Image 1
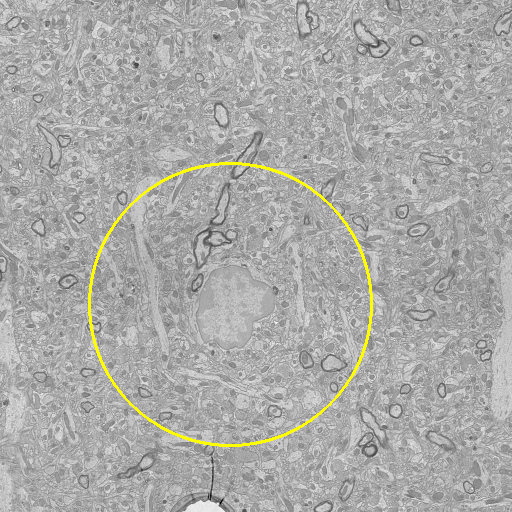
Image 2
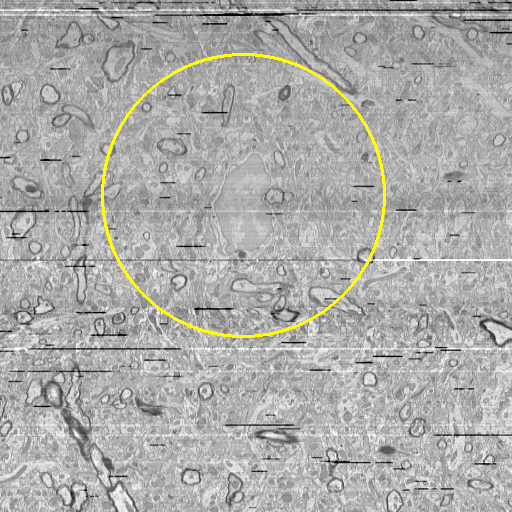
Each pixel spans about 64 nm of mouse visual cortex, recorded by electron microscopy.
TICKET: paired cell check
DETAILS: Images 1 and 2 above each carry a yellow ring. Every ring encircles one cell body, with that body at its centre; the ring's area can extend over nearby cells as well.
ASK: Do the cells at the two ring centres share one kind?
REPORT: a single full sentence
Yes, the ring-centre cells of Images 1 and 2 belong to a single kind.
